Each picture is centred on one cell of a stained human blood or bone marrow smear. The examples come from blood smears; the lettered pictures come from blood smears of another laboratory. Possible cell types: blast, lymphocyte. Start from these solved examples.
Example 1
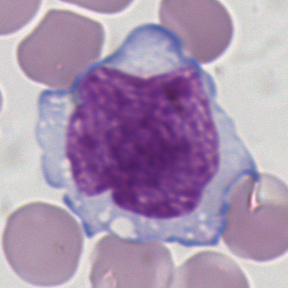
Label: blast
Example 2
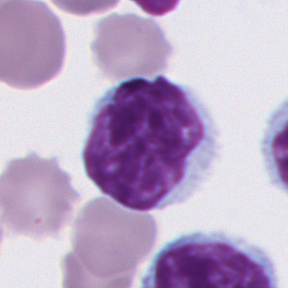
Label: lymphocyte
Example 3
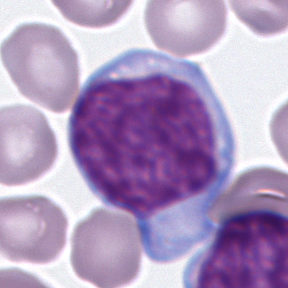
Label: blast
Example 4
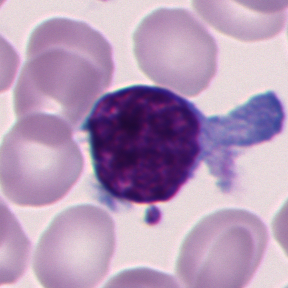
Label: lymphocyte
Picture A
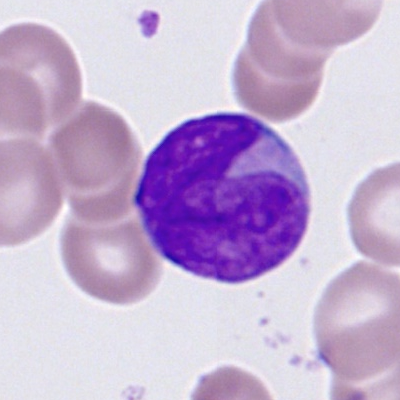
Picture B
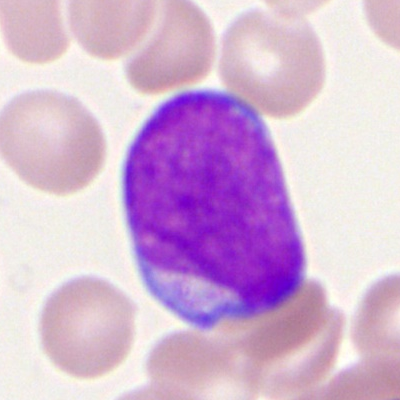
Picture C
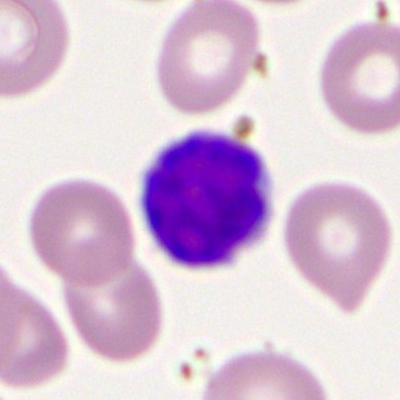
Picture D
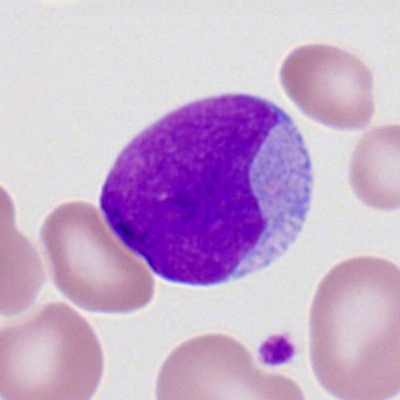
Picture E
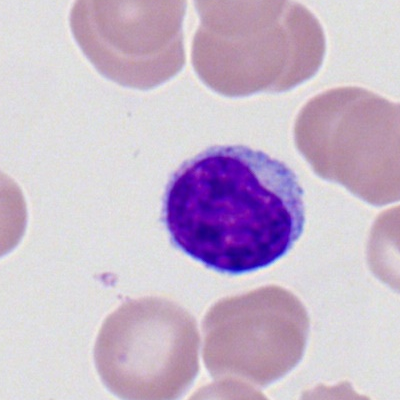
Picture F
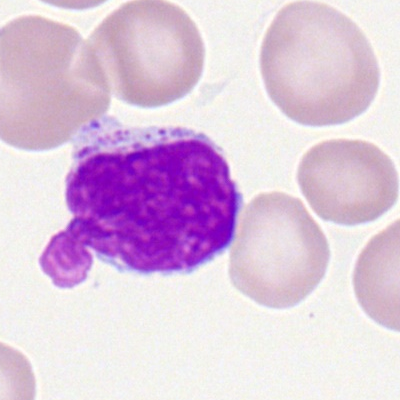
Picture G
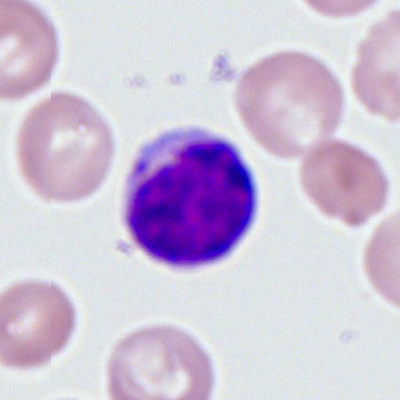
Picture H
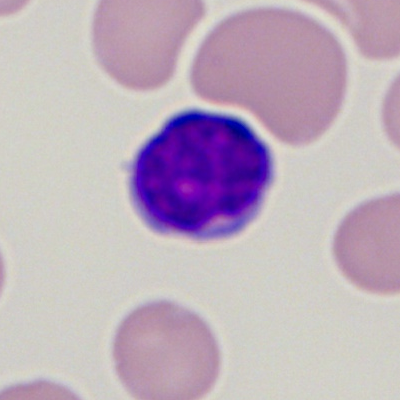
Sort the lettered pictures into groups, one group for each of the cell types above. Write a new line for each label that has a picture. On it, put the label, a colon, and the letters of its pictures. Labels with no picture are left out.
blast: A, B, D
lymphocyte: C, E, F, G, H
